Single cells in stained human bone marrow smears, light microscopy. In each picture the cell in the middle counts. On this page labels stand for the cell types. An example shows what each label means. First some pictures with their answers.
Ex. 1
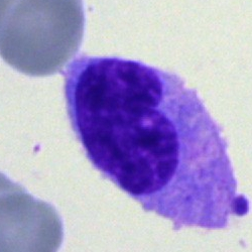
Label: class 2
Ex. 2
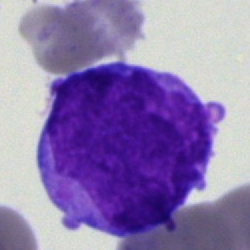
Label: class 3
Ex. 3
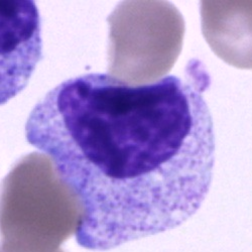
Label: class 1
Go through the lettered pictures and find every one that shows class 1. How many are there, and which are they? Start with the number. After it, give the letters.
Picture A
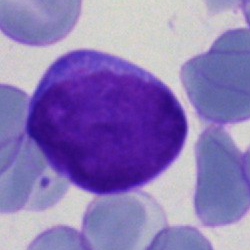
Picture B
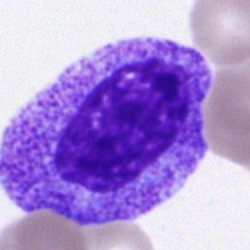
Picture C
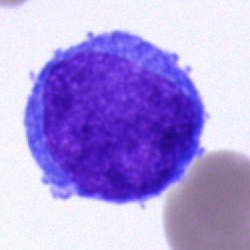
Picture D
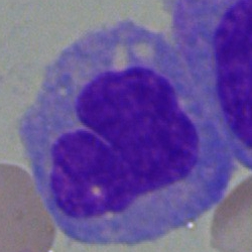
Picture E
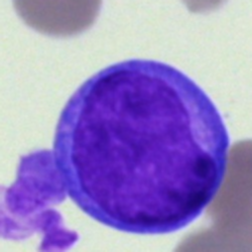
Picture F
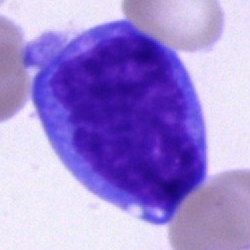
1: B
